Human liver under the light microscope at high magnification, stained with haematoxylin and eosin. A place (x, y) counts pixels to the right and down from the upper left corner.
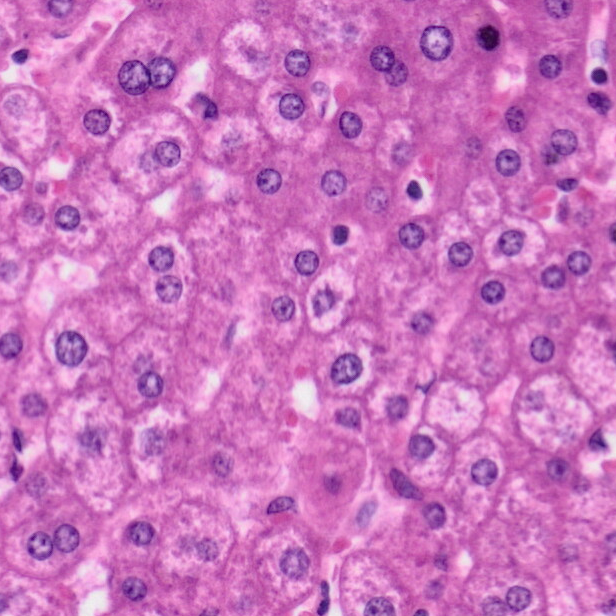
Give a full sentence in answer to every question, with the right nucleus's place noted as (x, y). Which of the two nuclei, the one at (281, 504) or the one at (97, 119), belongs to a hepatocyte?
The nucleus that belongs to a hepatocyte sits at (97, 119).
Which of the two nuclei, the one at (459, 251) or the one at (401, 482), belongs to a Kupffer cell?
Between the two nuclei, the one sitting at (401, 482) belongs to a Kupffer cell.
